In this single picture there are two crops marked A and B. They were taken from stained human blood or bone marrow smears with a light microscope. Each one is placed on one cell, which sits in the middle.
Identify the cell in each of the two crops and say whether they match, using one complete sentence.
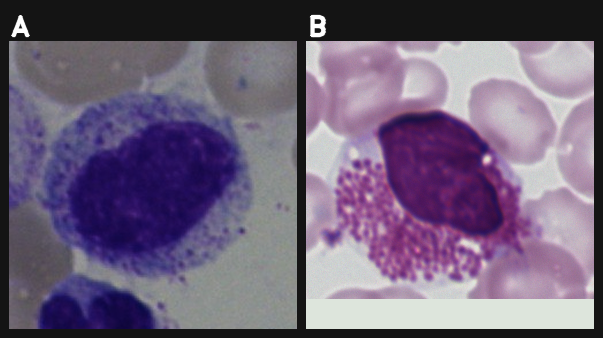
No, crop A shows a metamyelocyte, whereas in crop B the cell is an eosinophil.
